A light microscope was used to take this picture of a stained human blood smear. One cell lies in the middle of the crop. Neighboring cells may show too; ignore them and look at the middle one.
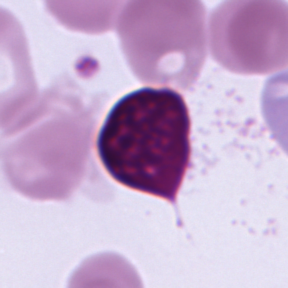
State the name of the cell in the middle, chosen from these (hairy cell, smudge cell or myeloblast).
smudge cell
